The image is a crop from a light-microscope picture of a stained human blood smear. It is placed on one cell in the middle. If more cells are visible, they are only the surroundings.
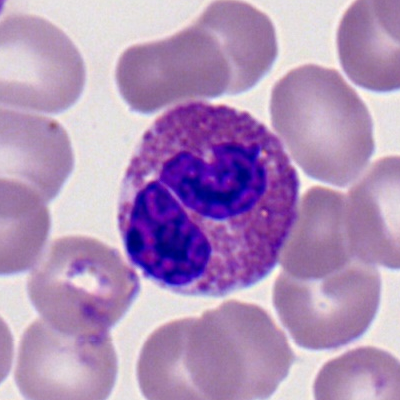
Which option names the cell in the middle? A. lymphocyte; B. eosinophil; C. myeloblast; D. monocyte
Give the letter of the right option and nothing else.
B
